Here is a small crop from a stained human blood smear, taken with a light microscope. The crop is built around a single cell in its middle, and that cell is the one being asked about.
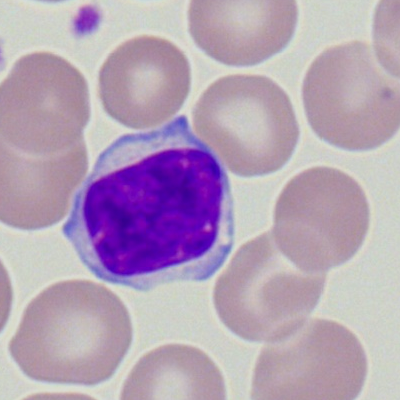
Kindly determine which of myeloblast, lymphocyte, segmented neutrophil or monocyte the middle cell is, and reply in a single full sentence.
In the crop, the cell of interest at the centre is a lymphocyte.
